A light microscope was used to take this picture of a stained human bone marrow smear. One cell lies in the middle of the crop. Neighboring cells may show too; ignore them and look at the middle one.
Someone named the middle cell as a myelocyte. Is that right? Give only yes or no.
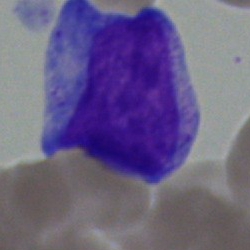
no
